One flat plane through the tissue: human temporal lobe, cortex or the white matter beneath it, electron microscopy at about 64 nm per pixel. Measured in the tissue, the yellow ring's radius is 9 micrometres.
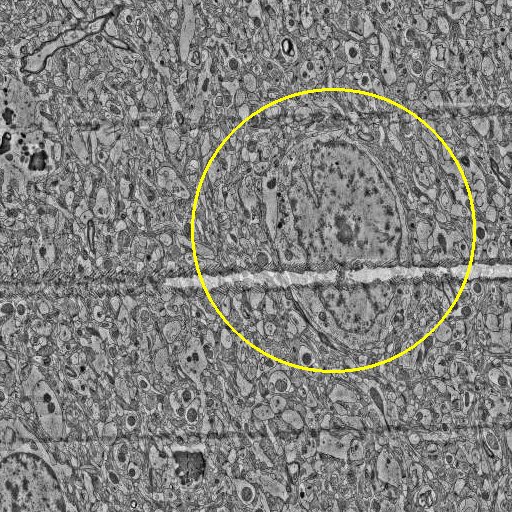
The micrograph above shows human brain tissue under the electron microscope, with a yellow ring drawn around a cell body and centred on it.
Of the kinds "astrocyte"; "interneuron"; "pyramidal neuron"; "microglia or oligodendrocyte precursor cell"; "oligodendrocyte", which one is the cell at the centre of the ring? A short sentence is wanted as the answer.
The one at the centre of the ring is an interneuron.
